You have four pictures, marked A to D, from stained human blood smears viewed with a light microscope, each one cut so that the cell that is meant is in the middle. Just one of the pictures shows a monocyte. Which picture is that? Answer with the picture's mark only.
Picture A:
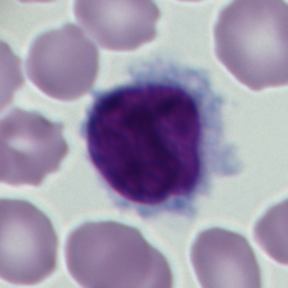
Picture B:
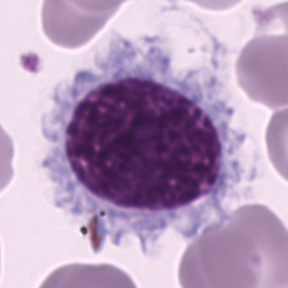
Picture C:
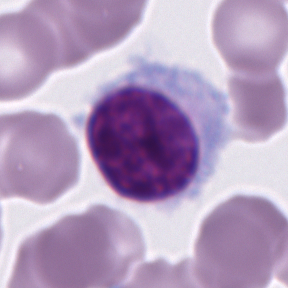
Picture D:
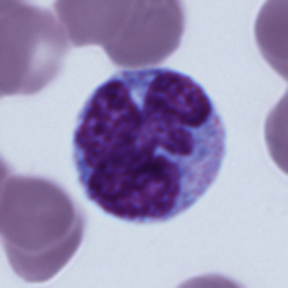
D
